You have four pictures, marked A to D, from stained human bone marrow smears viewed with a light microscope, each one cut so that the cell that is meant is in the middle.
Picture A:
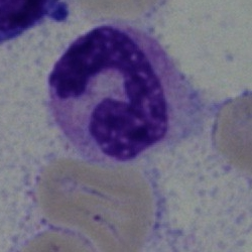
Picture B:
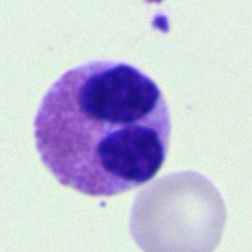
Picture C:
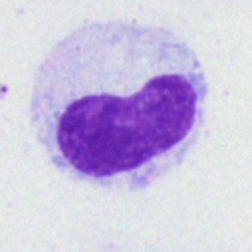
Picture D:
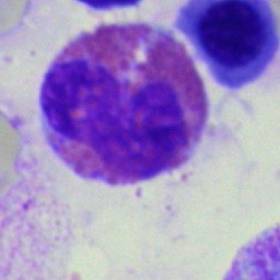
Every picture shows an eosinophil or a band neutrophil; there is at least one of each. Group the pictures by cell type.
A: band neutrophil
B: eosinophil
C: band neutrophil
D: eosinophil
